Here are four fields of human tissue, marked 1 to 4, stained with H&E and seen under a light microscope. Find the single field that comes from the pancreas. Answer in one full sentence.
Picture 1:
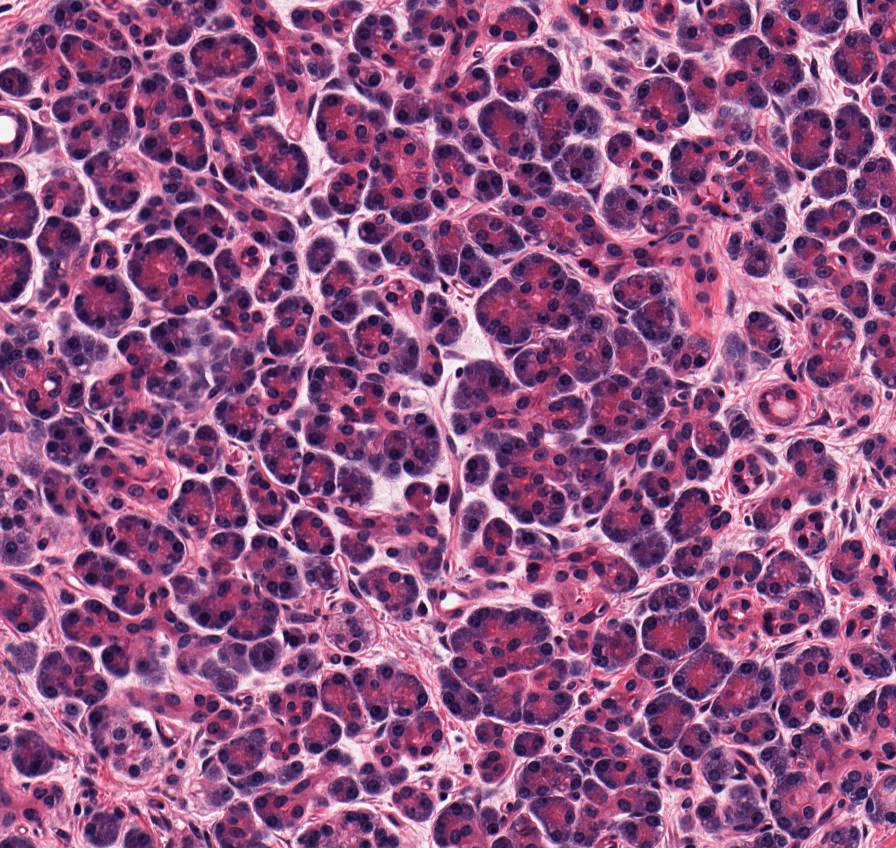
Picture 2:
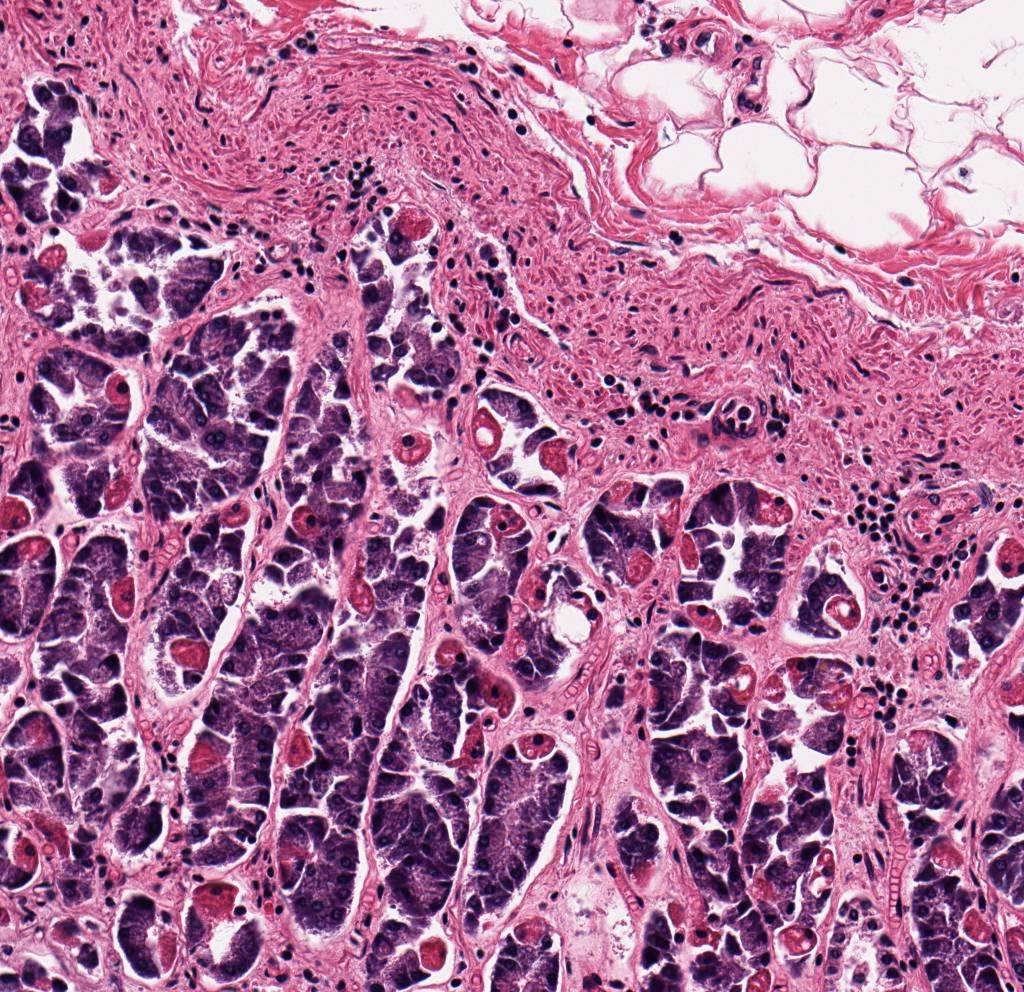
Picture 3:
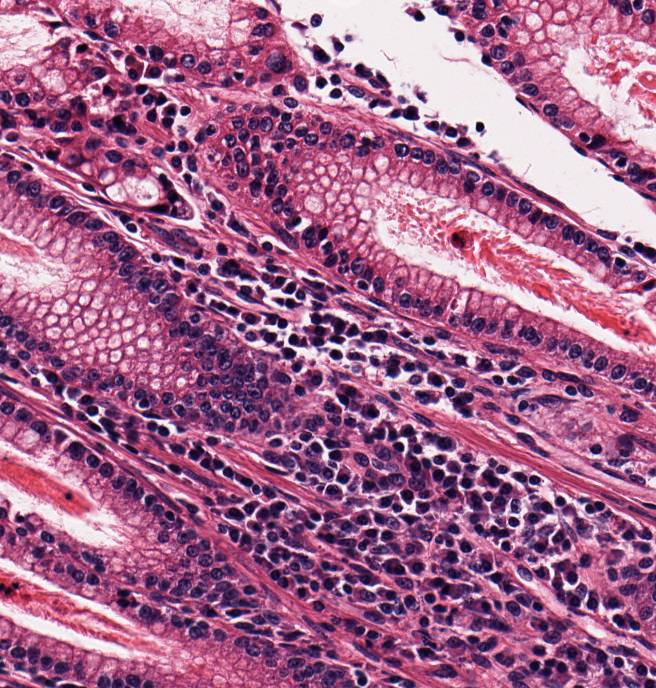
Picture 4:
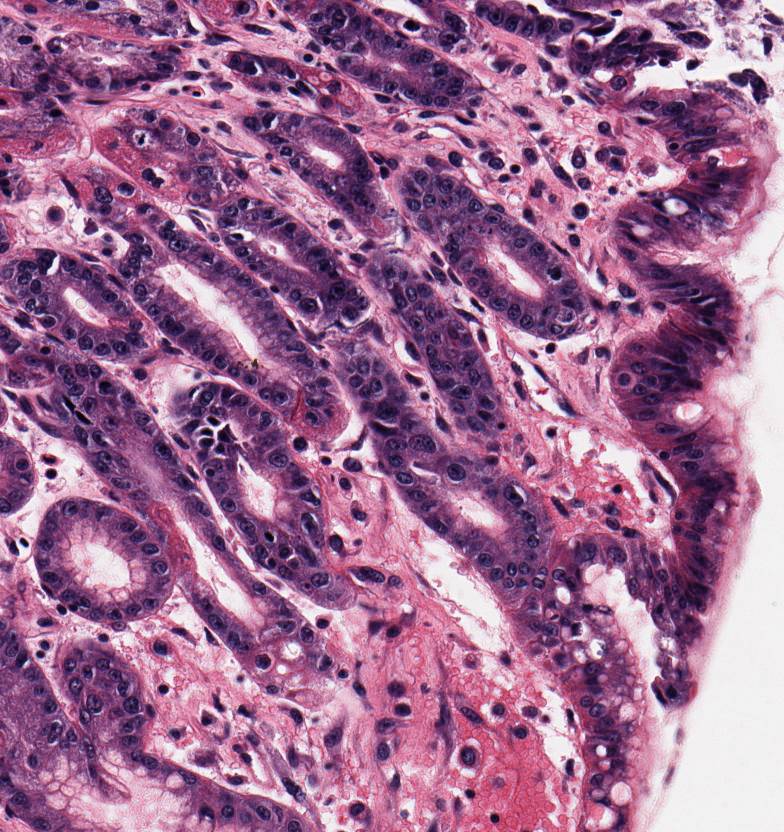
The one that comes from the pancreas is picture 1.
